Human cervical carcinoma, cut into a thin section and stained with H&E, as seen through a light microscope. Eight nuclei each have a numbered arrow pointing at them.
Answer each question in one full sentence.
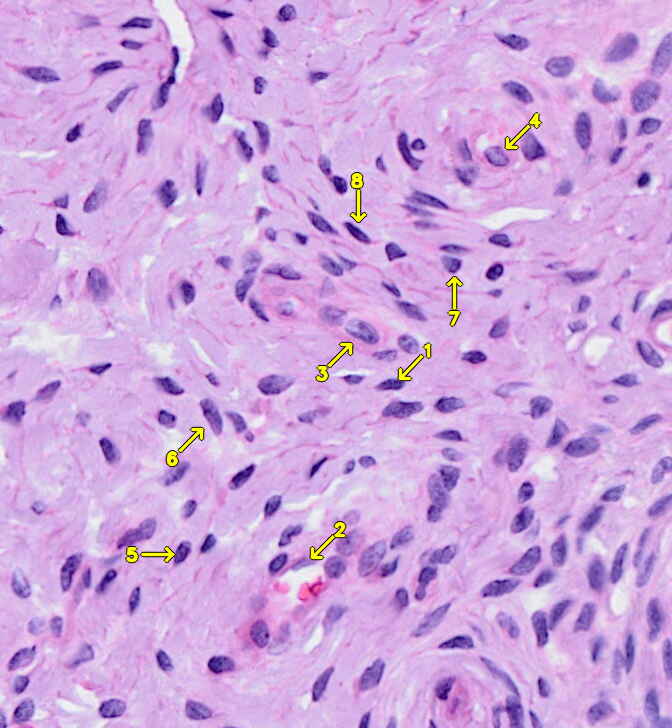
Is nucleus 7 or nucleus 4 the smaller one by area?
Number 7 is smaller, since number 4 takes up about 1.5 times as much area.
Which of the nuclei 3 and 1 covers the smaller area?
It is nucleus 1; nucleus 3 has about 2.5 times its area.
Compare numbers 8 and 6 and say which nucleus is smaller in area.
Nucleus 8 covers less area, with nucleus 6 about 1.5 times as large.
